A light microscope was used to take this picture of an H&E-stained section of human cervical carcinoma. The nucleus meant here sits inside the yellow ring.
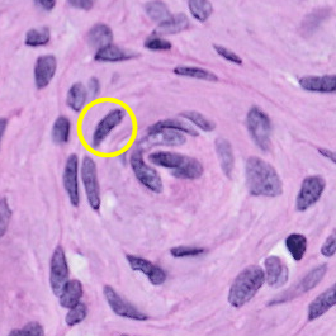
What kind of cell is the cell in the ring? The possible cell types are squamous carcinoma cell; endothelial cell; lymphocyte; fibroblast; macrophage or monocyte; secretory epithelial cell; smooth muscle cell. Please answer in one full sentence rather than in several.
In this section of tissue, the cell in the ring is a fibroblast.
